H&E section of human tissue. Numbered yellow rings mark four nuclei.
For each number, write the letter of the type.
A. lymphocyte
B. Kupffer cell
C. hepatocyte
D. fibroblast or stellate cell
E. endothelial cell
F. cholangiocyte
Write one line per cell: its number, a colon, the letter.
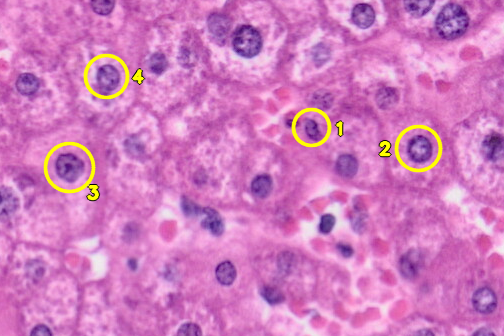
1: D
2: C
3: C
4: C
